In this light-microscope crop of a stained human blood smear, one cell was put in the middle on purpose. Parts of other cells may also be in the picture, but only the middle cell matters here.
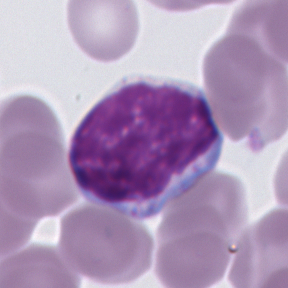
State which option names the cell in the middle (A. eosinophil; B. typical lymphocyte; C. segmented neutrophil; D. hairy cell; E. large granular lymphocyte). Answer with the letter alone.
E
